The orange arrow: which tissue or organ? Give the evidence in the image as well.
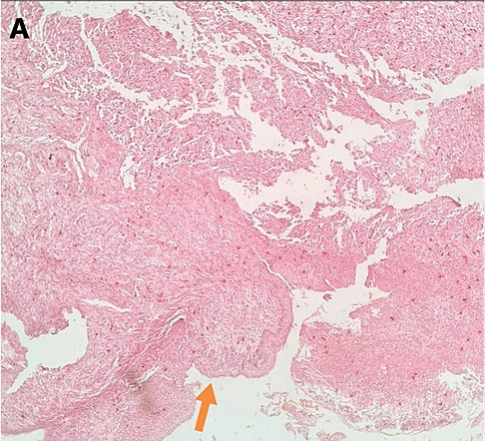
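The arrow points at a thin surface layer bordering the tissue fragment. The surface layer lies at the edge of the pink tissue next to empty space.
Answer: overlying epithelium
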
